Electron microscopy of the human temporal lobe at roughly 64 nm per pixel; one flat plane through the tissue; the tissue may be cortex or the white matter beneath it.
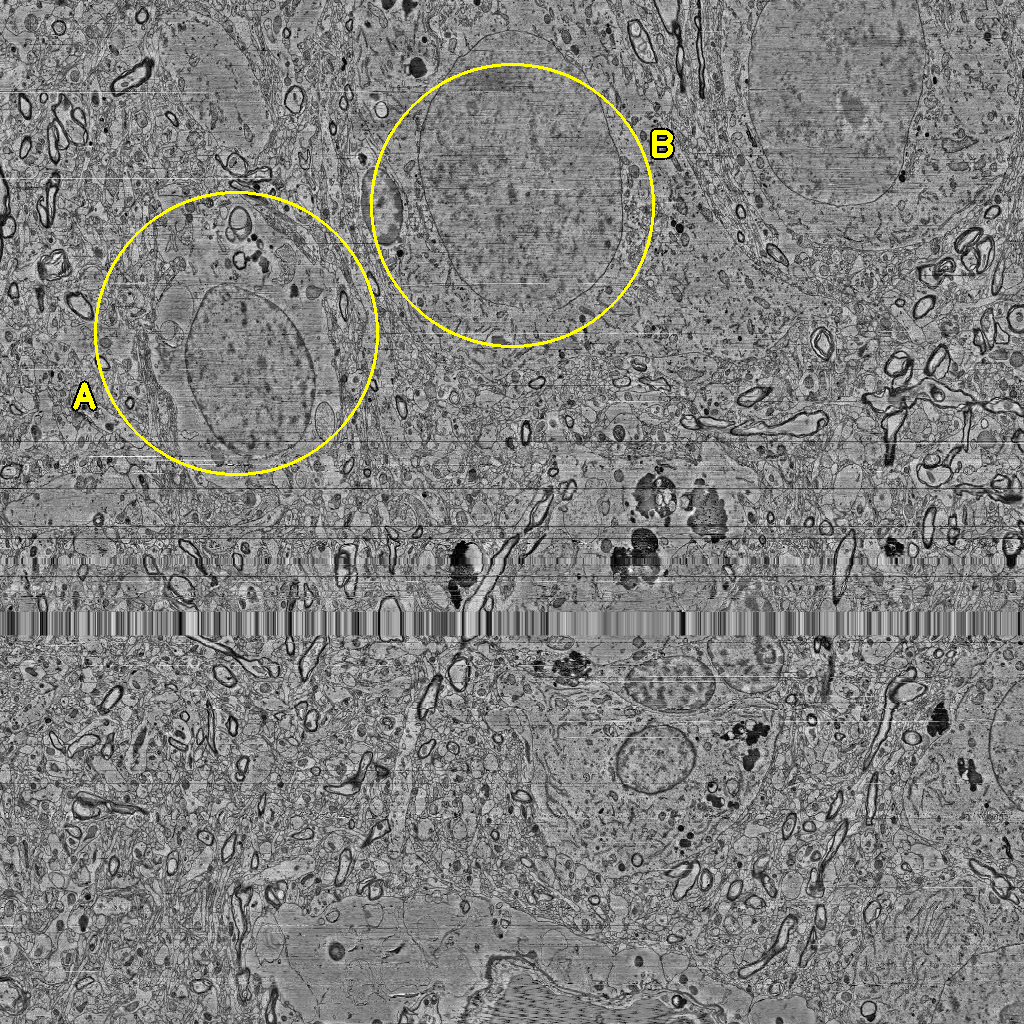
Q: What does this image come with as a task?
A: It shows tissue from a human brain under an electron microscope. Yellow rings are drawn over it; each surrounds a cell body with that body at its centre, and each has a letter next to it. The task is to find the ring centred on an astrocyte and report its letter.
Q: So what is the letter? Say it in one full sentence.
It is A, the letter of the ring centred on the cell asked for in the picture.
